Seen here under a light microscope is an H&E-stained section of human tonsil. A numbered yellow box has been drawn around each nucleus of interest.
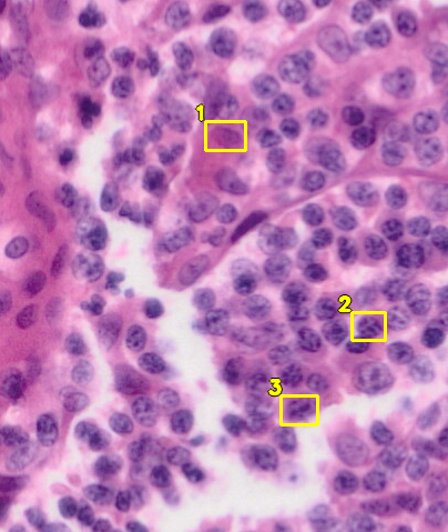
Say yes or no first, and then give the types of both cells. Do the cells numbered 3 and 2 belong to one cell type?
Yes, cells number 3 and number 2 are both plasma cells.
